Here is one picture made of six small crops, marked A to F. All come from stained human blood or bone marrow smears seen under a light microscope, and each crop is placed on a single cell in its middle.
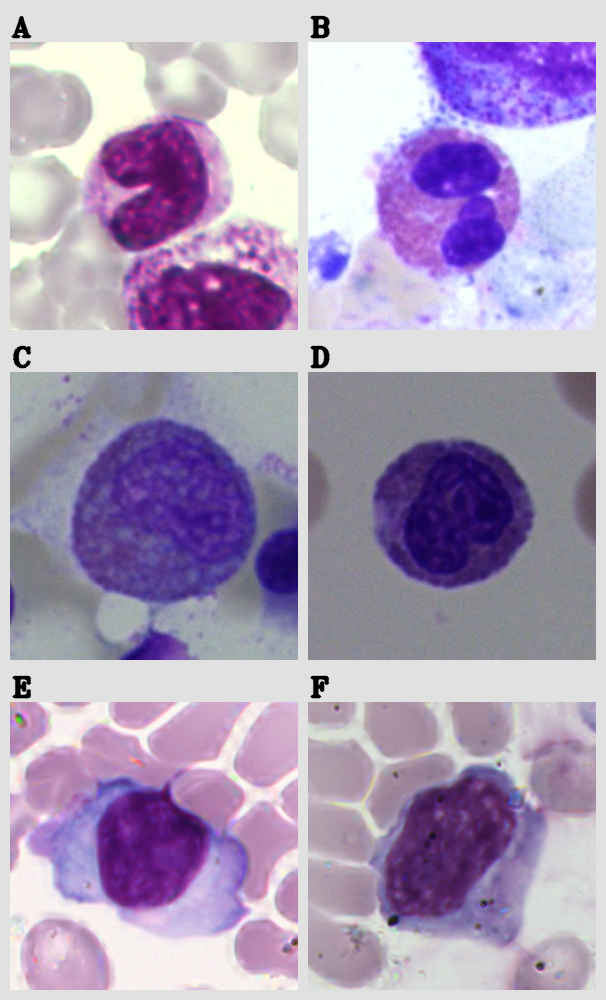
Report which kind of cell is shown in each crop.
A: band neutrophil
B: eosinophil
C: eosinophil
D: eosinophil
E: plasma cell
F: plasma cell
